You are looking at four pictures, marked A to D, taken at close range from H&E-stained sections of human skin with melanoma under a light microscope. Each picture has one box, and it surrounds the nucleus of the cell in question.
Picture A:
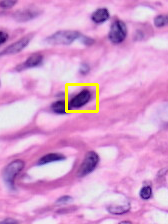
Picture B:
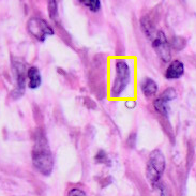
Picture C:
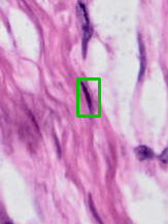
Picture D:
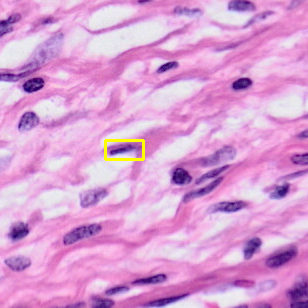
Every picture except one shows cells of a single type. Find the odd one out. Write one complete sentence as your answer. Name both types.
The different one is picture A; it shows a plasma cell, whereas all the others show “fibroblasts or myofibroblasts”.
